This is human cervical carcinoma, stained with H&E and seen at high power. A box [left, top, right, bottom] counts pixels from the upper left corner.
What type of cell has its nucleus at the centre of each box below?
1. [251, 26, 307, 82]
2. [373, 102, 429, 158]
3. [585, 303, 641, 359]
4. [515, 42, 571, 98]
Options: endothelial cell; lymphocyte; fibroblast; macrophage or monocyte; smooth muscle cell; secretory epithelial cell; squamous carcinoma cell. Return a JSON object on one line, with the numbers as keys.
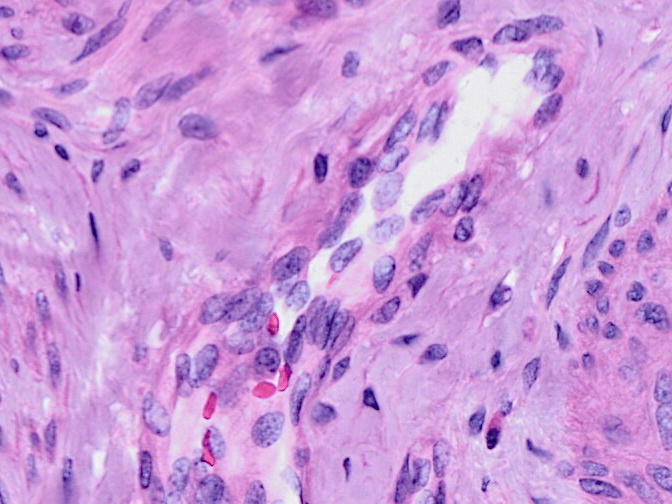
{"1": "fibroblast", "2": "endothelial cell", "3": "smooth muscle cell", "4": "endothelial cell"}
